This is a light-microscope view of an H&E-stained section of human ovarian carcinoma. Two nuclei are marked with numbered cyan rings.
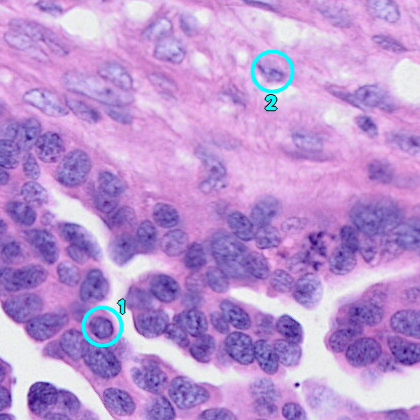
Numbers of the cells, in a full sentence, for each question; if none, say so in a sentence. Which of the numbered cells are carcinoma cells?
Cell 1 is a carcinoma cell, and this holds for no other numbered cell.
